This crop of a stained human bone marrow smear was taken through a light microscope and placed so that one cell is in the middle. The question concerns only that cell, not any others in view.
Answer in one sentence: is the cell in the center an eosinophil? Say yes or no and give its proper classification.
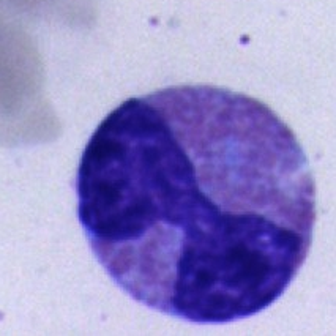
Yes, centred in the crop is an eosinophil.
